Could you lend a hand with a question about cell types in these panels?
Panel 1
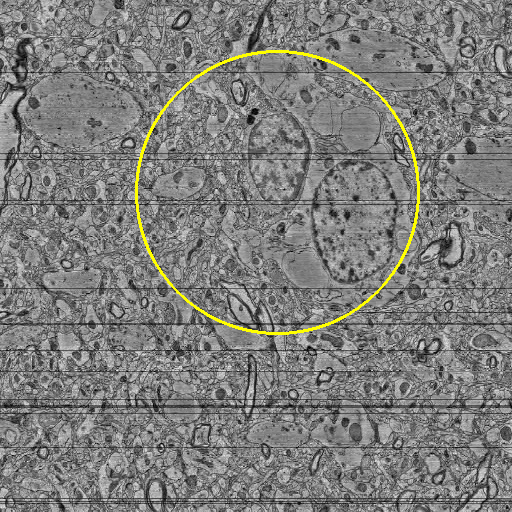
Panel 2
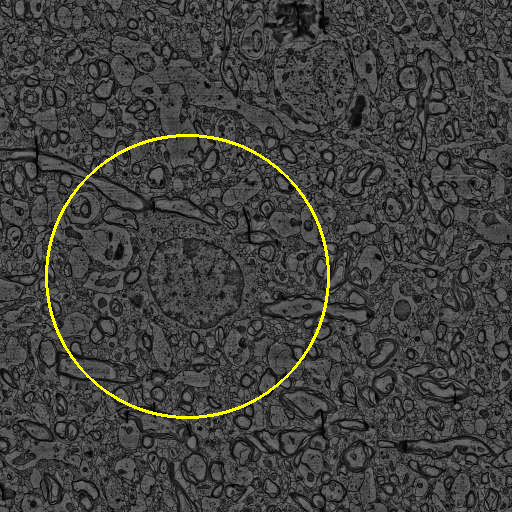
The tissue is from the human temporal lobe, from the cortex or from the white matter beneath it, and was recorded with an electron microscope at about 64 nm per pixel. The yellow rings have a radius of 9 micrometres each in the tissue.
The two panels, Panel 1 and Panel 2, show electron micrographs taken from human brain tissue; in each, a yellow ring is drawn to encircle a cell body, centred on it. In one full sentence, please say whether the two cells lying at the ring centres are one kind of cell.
Yes, the cells at the ring centres in the two panels are one kind of cell.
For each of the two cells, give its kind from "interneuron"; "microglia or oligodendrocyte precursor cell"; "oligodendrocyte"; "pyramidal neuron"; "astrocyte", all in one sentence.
In each picture the ringed cell is an oligodendrocyte.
